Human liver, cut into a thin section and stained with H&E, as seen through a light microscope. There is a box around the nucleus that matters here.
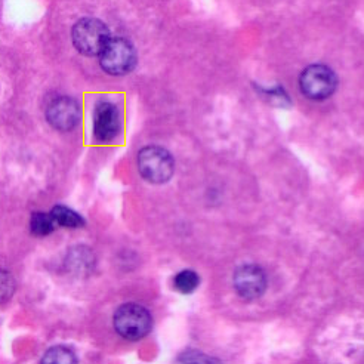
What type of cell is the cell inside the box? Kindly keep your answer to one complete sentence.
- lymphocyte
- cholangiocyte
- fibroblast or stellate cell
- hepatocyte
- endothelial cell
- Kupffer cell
In cellular terms, the cell inside the box is a Kupffer cell.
